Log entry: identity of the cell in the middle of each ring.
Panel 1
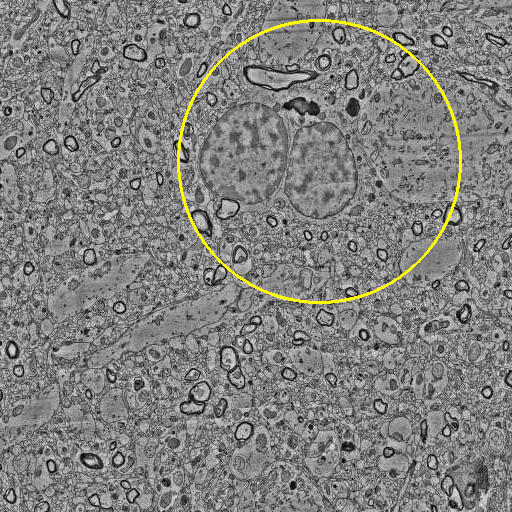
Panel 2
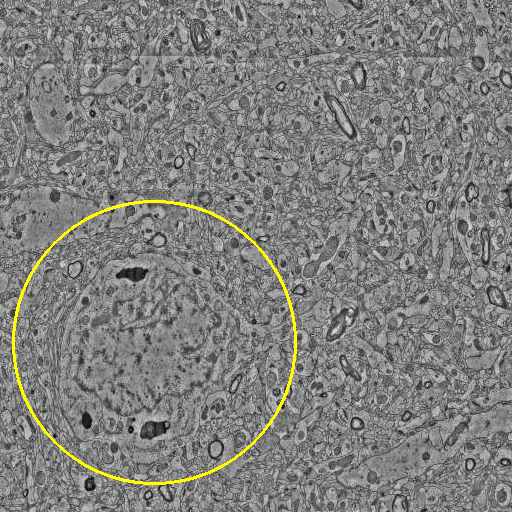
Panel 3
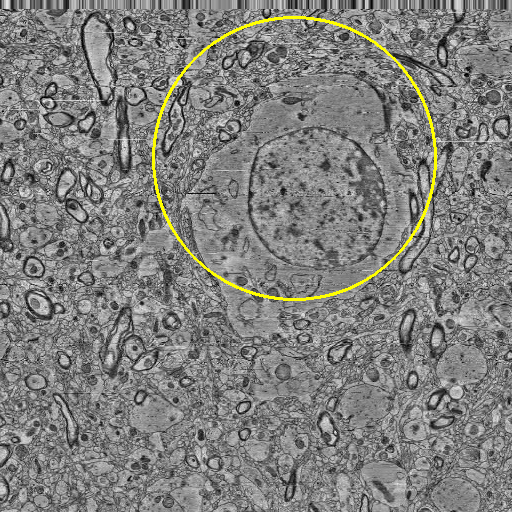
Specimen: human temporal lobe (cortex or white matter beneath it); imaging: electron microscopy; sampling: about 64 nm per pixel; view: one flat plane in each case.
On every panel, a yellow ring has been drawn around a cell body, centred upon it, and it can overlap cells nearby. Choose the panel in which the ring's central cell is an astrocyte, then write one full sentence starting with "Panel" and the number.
Panel 3 shows the requested cell sitting in the middle of its ring.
